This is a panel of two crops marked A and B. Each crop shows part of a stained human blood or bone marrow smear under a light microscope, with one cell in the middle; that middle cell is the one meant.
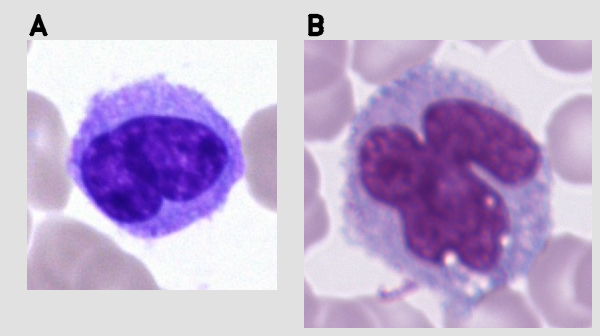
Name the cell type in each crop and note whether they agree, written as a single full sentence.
Yes, with regard to both crops, the central cells are monocytes.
